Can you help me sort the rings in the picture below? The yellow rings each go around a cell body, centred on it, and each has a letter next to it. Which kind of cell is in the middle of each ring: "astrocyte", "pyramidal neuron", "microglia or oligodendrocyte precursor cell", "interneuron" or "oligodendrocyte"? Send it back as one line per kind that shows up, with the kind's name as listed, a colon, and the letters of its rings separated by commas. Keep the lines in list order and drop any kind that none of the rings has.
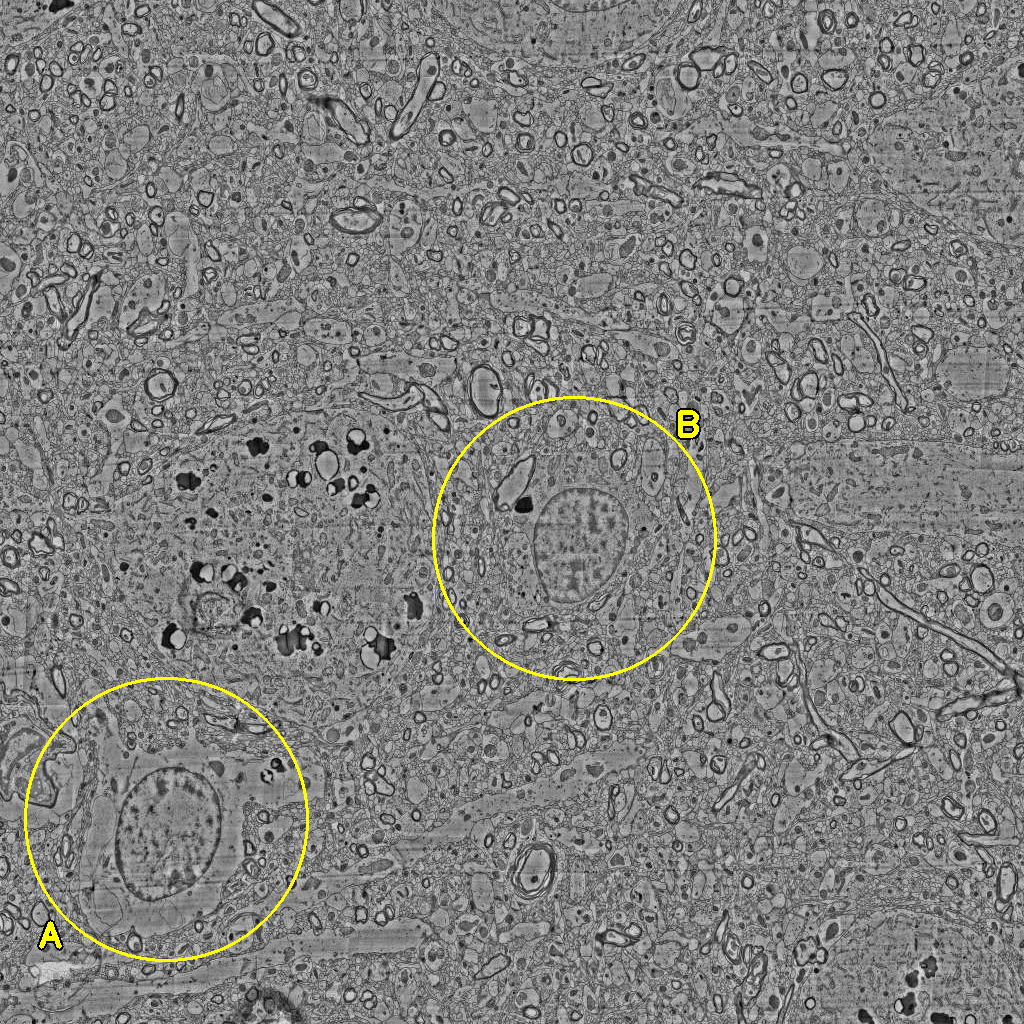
astrocyte: A
oligodendrocyte: B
